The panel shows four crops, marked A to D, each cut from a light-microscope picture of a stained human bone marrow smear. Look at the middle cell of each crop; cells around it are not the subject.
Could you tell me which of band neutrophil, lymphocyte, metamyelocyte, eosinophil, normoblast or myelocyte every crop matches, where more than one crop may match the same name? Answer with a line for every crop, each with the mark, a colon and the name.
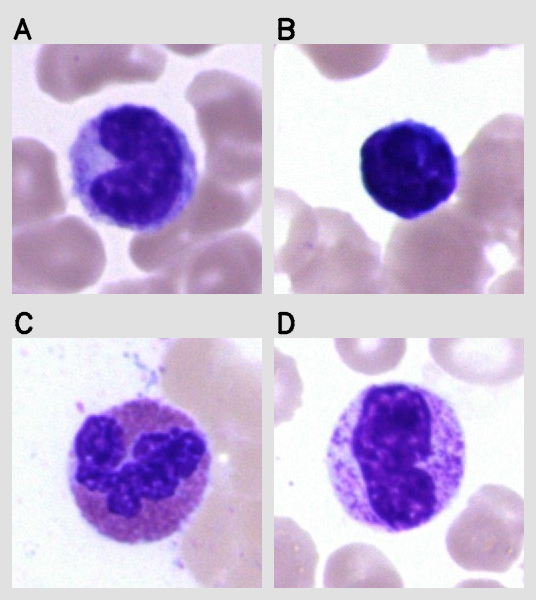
A: metamyelocyte
B: lymphocyte
C: eosinophil
D: metamyelocyte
